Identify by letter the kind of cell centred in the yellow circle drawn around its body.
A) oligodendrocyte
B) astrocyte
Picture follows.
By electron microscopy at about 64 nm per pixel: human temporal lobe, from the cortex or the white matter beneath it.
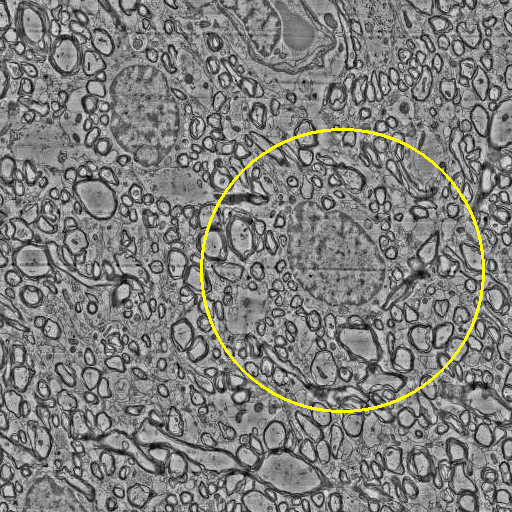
A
